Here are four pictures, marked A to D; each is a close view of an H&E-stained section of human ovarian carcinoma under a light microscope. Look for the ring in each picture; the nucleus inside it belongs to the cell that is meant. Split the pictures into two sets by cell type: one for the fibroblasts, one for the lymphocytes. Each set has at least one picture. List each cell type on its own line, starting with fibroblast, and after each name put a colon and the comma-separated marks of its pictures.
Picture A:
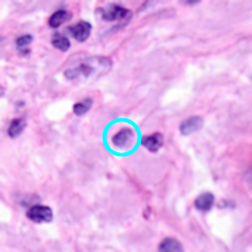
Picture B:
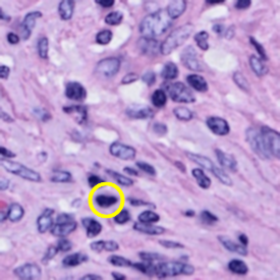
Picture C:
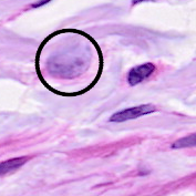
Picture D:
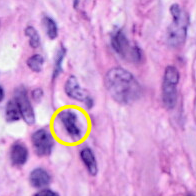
fibroblast: C
lymphocyte: A, B, D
